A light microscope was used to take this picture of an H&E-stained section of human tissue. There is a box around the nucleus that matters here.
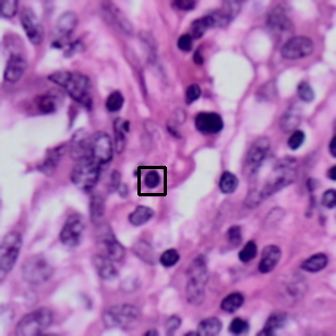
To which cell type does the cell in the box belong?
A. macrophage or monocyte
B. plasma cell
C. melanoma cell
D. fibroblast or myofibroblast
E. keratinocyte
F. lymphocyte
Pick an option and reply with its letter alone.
F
